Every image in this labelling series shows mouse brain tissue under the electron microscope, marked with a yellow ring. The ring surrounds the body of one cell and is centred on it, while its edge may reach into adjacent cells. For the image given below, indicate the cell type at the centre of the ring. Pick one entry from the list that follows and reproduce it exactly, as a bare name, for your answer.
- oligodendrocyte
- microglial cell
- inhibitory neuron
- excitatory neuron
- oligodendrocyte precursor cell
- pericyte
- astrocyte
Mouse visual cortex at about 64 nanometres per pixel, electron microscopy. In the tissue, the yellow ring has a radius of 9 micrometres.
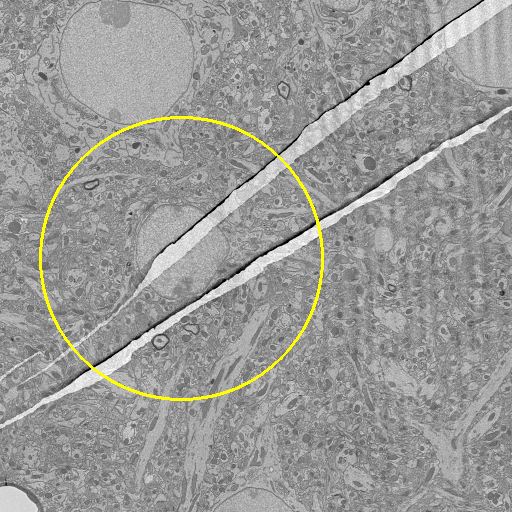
astrocyte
